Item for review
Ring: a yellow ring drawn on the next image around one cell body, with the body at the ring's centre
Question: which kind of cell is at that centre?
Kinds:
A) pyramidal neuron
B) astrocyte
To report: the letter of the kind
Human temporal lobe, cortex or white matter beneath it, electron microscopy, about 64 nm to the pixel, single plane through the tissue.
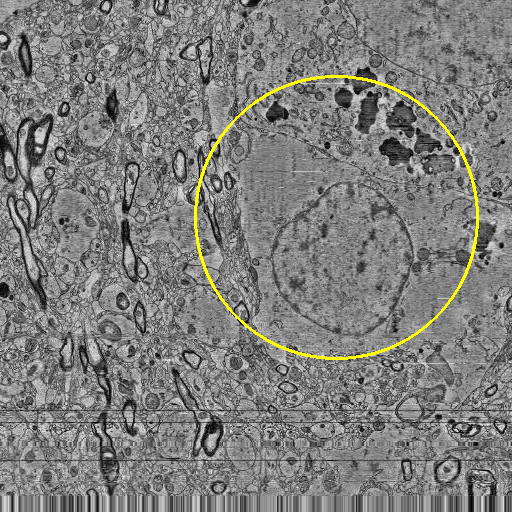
B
